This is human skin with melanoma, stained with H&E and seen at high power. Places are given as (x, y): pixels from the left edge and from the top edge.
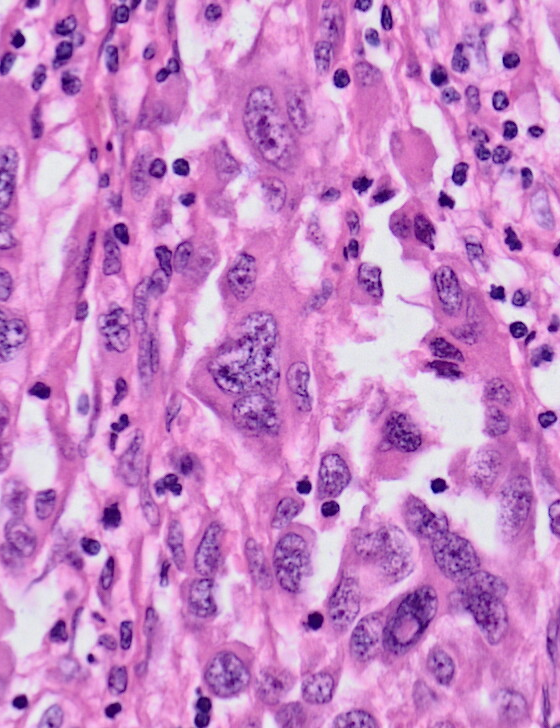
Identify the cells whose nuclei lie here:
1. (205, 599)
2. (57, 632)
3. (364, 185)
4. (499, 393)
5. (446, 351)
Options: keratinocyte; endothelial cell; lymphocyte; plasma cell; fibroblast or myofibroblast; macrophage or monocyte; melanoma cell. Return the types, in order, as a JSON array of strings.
["melanoma cell", "lymphocyte", "lymphocyte", "melanoma cell", "melanoma cell"]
